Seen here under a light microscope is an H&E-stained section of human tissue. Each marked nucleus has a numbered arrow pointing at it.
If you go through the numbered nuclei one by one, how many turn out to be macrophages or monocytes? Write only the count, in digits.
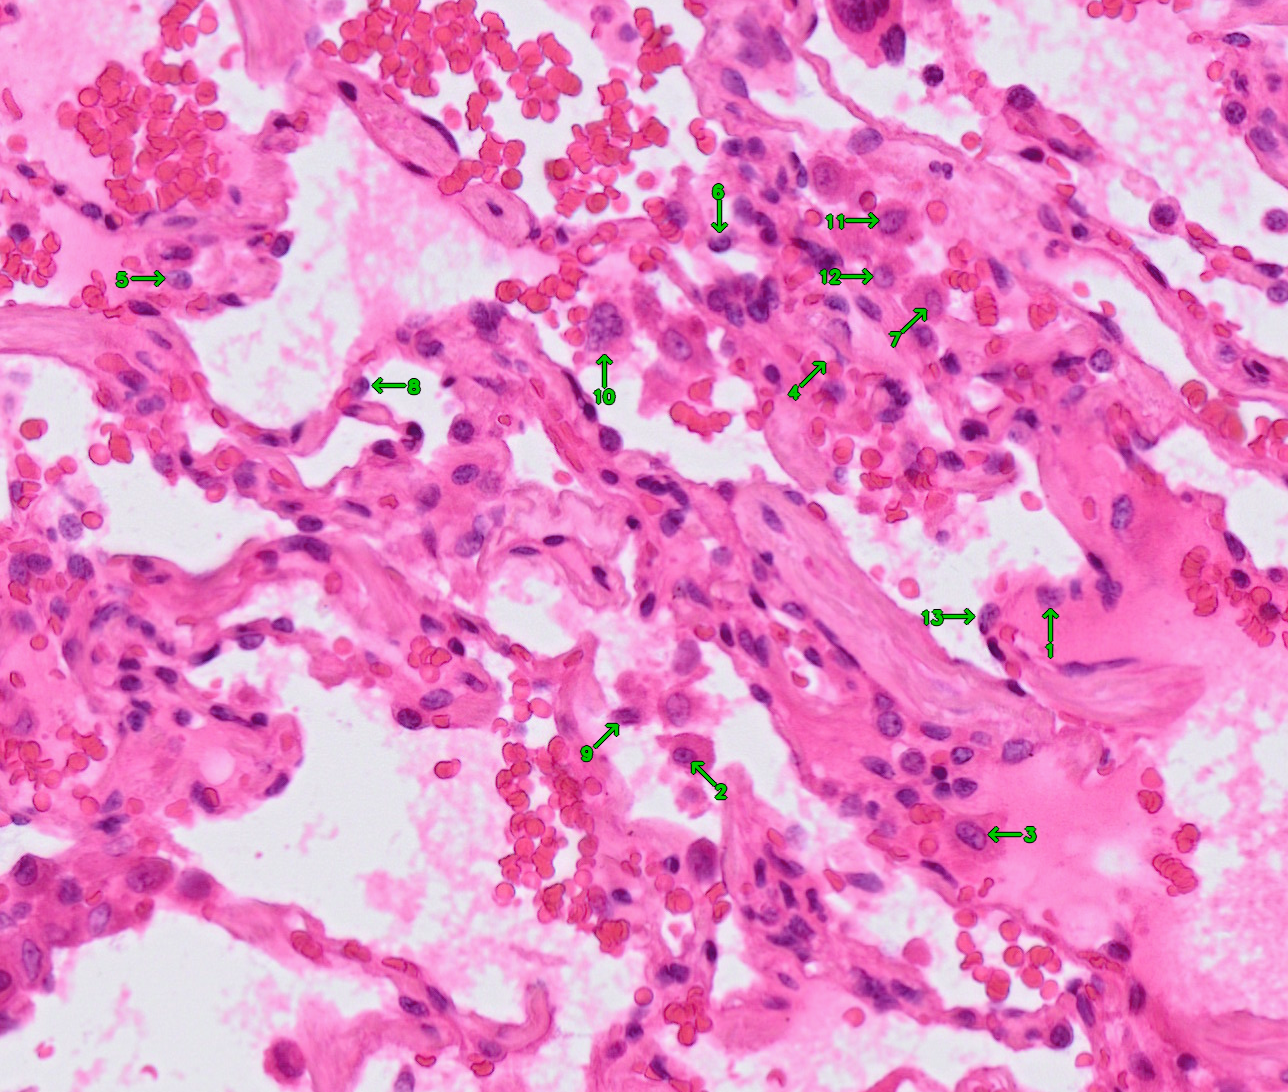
6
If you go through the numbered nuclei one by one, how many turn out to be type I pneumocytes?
5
